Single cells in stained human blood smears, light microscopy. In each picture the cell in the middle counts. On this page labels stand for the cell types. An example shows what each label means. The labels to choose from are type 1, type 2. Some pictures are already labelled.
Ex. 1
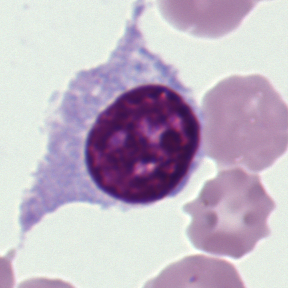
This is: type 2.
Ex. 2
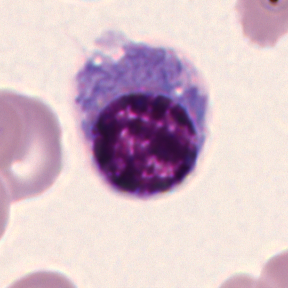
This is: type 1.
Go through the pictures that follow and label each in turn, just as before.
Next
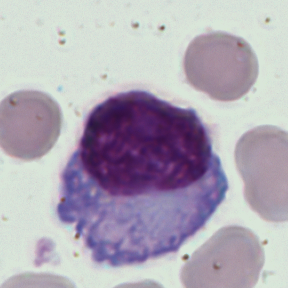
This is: type 1.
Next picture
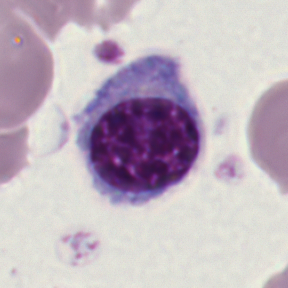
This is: type 1.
